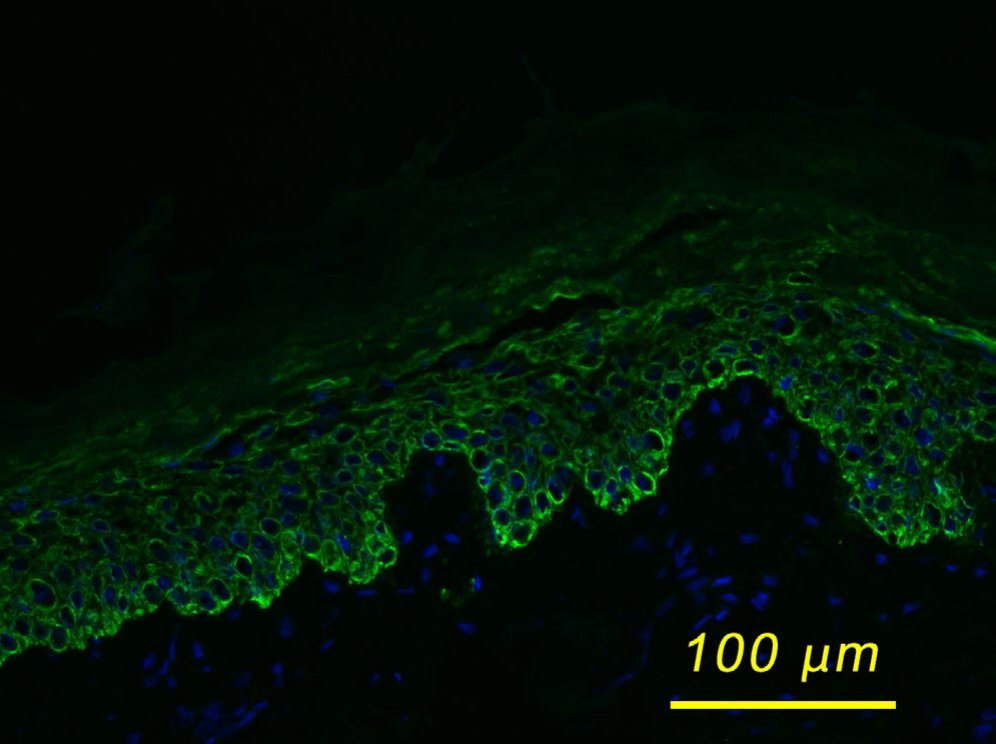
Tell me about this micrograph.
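This section of skin shows the epidermis, in which the keratinocytes are outlined by green rims around the cell edges and contain blue oval nuclei, packed as polygonal cells in several layers. The epidermis sends rete ridges down into a dark dermis, which holds scattered elongated blue nuclei. Above the cell layers lies a faint, layered cornified zone, and a thin dark horizontal split runs beneath it through the upper epidermis.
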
